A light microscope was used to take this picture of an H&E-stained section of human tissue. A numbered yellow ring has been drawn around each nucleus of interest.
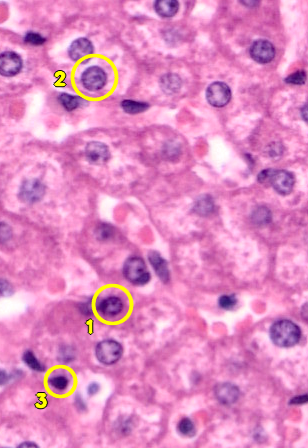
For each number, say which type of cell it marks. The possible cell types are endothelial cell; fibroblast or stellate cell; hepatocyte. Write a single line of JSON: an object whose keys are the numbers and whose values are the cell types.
{"1": "hepatocyte", "2": "hepatocyte", "3": "fibroblast or stellate cell"}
